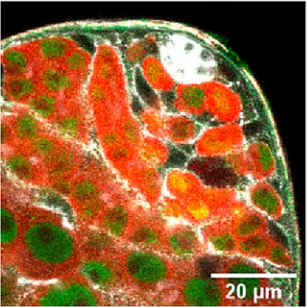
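Apical tip of a testis showing germline cells with red cytoplasm and green nuclei, surrounded by thin gray somatic cell outlines. At the apex lies a compact bright white-gray cluster, the hub, with small germ cells next to it, while farther away the germ cells are grouped in larger clusters with larger nuclei.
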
